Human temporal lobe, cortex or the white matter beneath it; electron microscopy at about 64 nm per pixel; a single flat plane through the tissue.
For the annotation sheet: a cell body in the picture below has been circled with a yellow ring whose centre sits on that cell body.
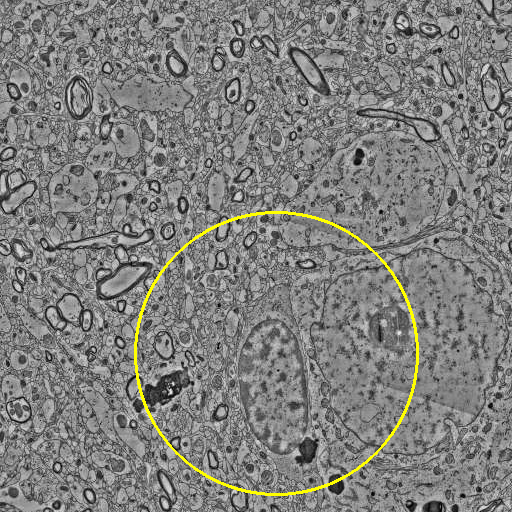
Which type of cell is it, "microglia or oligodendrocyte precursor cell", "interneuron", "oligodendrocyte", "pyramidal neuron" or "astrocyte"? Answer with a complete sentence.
The circled cell is an oligodendrocyte.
